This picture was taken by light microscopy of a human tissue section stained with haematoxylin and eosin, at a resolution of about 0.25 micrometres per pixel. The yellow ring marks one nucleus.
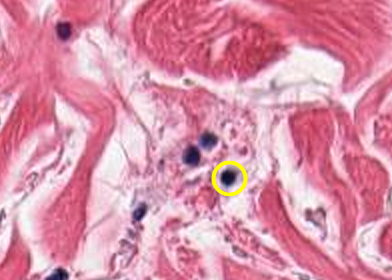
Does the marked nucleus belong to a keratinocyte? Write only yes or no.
no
